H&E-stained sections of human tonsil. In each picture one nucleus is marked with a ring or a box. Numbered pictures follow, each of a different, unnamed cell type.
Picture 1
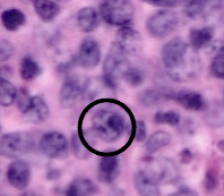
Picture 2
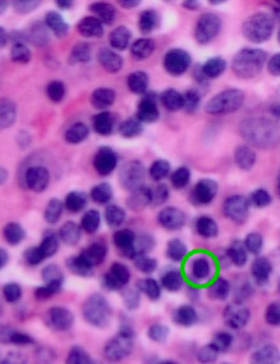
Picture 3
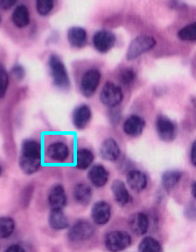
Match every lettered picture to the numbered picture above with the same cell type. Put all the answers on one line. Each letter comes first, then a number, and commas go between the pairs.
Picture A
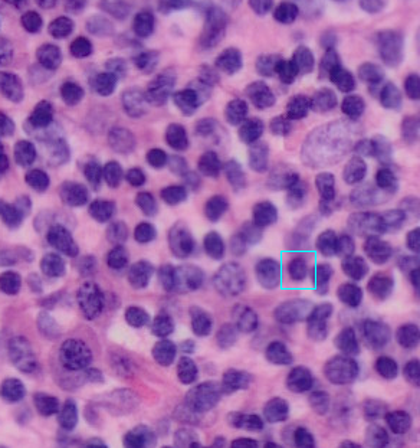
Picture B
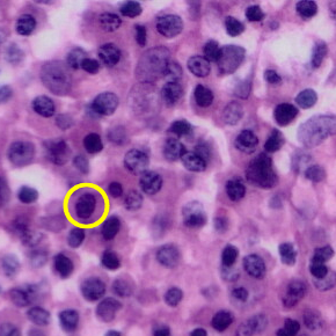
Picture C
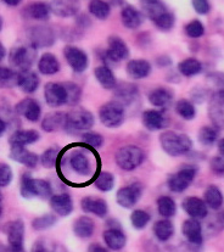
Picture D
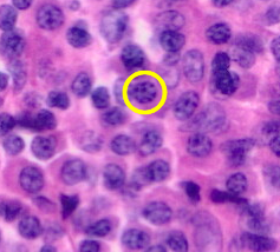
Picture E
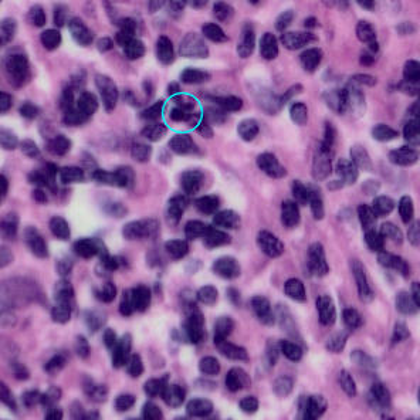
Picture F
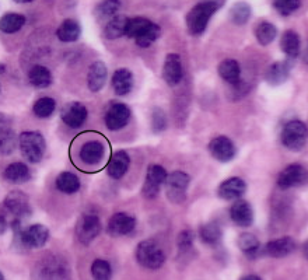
A 2, B 3, C 2, D 3, E 2, F 3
